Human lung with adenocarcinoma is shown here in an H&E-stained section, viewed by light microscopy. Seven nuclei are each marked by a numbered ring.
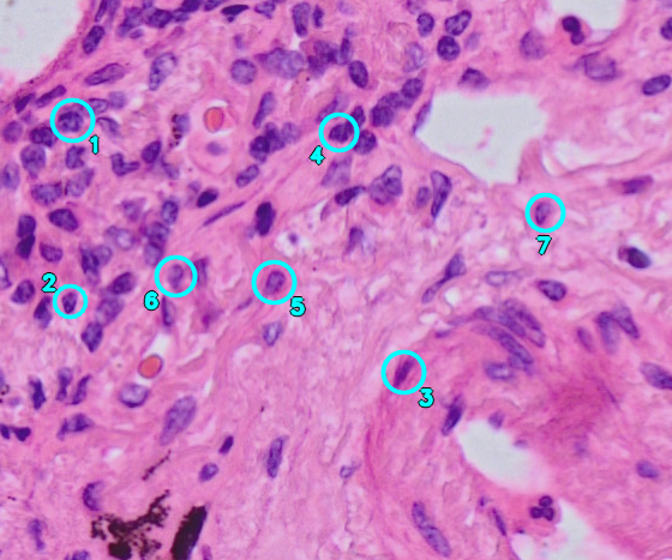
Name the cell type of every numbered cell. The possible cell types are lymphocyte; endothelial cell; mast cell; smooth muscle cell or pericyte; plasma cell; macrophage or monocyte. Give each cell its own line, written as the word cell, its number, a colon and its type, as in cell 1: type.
cell 1: lymphocyte
cell 2: lymphocyte
cell 3: smooth muscle cell or pericyte
cell 4: lymphocyte
cell 5: mast cell
cell 6: plasma cell
cell 7: mast cell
